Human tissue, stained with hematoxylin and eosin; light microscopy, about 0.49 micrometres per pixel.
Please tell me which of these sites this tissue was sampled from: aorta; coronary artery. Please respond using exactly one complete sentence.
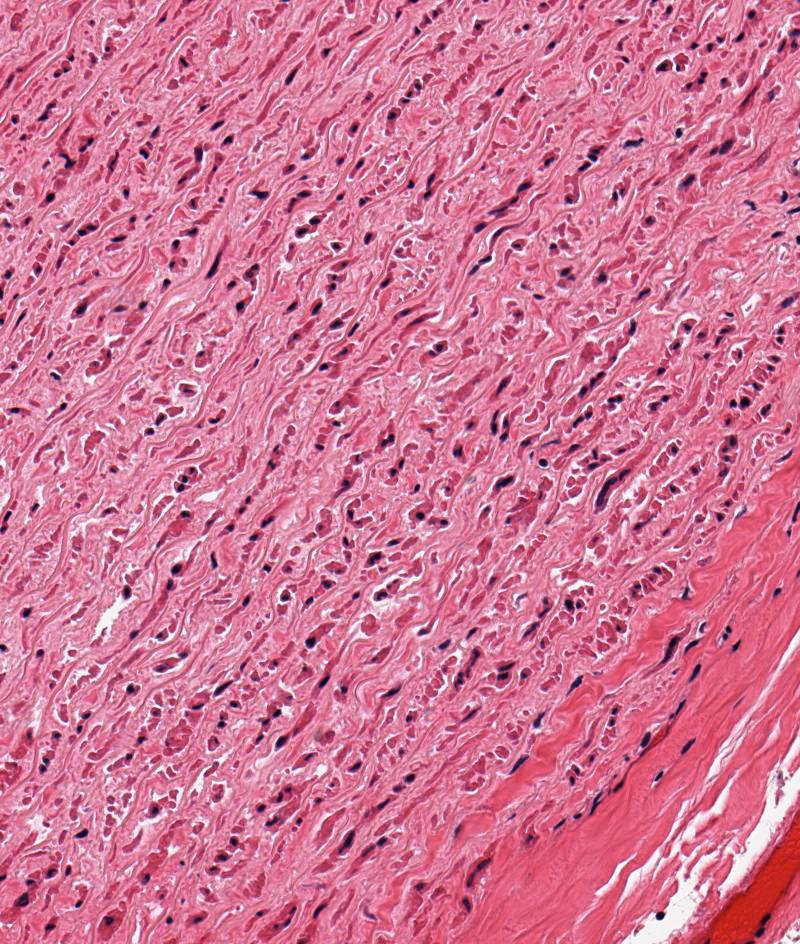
What this section contains is tissue from the aorta.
